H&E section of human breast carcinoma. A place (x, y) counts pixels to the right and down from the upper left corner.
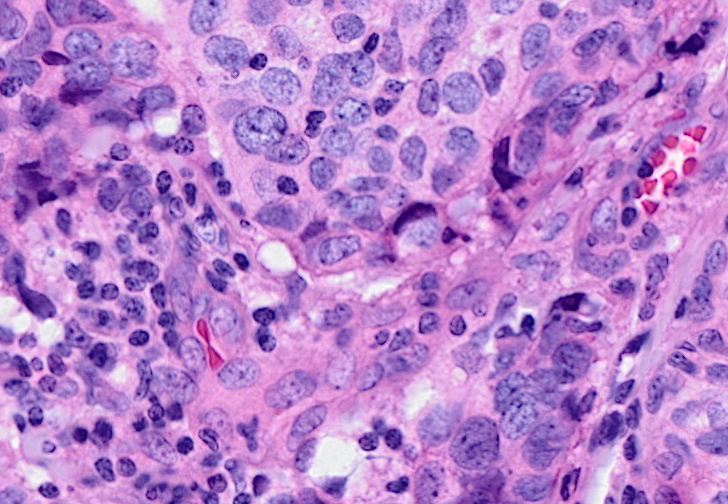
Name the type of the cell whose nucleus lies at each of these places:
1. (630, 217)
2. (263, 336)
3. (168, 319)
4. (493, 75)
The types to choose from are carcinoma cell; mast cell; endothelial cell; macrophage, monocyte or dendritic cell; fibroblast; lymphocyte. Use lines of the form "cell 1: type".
cell 1: lymphocyte
cell 2: lymphocyte
cell 3: lymphocyte
cell 4: carcinoma cell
